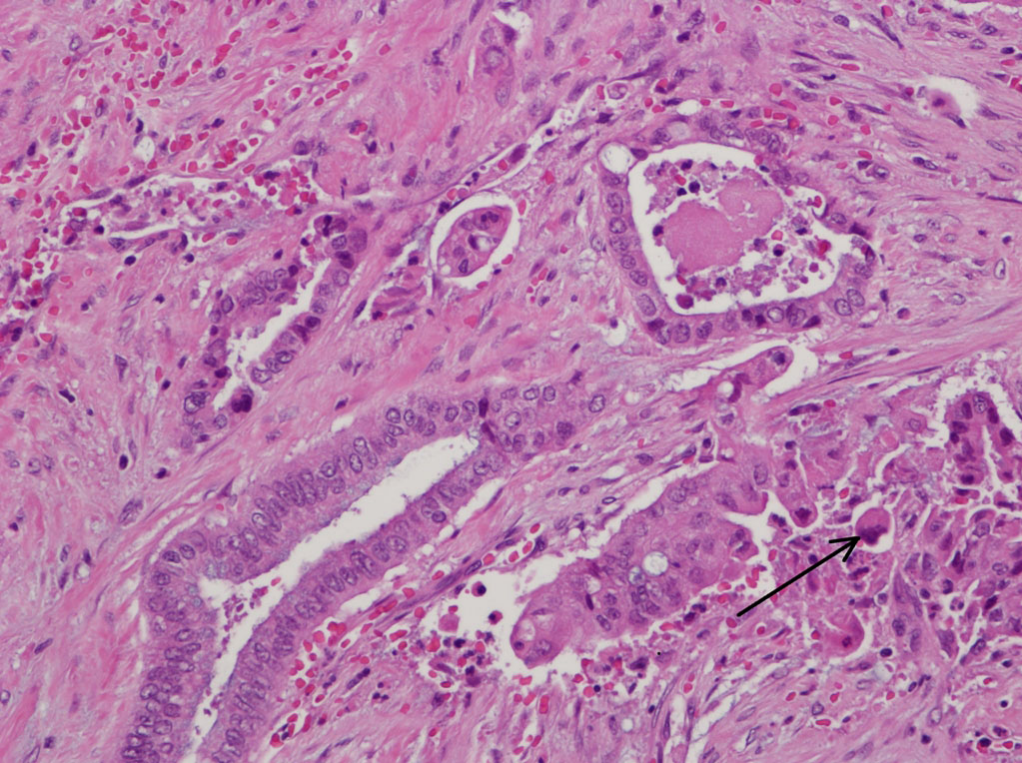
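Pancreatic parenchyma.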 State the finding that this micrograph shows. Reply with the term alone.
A: adenocarcinoma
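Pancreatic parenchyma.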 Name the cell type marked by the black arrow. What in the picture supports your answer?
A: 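The arrow points to a single rounded cell lying apart from the glands. This cell has a dark, enlarged nucleus and a rim of dense cytoplasm. The answer: single atypical cells.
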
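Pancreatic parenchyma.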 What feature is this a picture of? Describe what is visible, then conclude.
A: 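Irregular gland-like spaces are lined by tall columnar epithelial cells set in fibrous stroma. The lining cells have enlarged, crowded, oval nuclei with pink cytoplasm. Some lumina contain pink debris and cells.
Answer: tumor glands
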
